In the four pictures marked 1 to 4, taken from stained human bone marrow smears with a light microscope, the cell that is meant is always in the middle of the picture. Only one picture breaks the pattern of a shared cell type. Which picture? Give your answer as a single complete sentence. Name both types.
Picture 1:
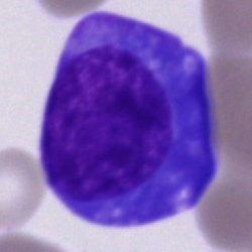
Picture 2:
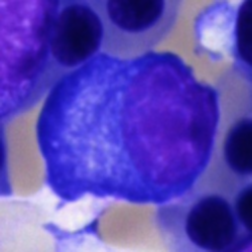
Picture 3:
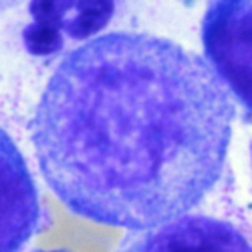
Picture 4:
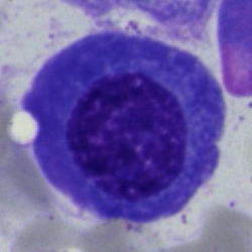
The different one is picture 3; it shows a promyelocyte, whereas all the others show plasma cells.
